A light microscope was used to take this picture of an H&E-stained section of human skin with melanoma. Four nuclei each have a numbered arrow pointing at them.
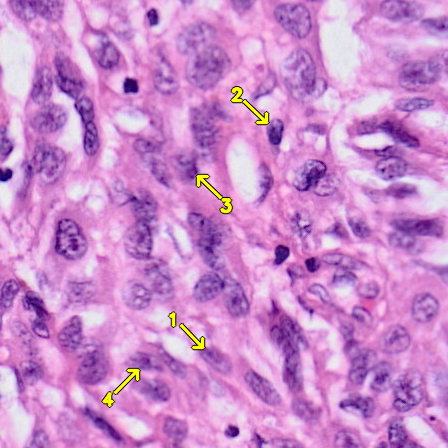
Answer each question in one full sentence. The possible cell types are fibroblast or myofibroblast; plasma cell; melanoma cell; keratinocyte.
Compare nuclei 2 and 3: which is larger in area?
Nucleus 3 is larger, with an area about 1.5 times that of nucleus 2.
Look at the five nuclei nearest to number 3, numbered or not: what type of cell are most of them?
Most of the five nuclei nearest to number 3 are those of melanoma cells.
